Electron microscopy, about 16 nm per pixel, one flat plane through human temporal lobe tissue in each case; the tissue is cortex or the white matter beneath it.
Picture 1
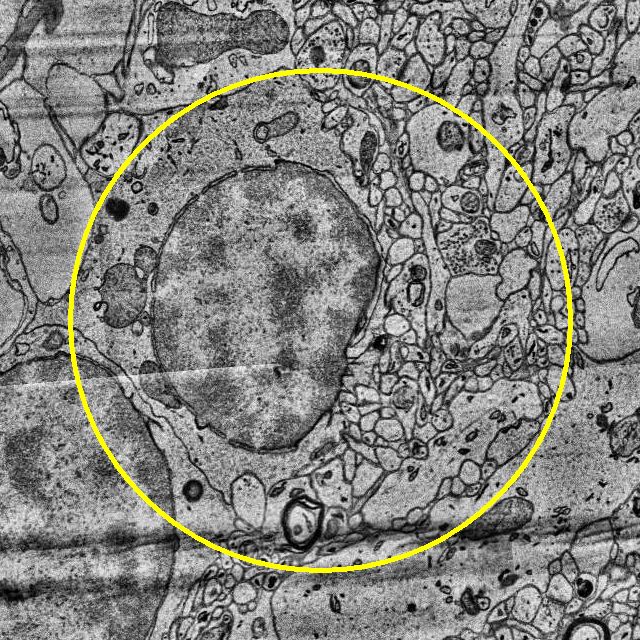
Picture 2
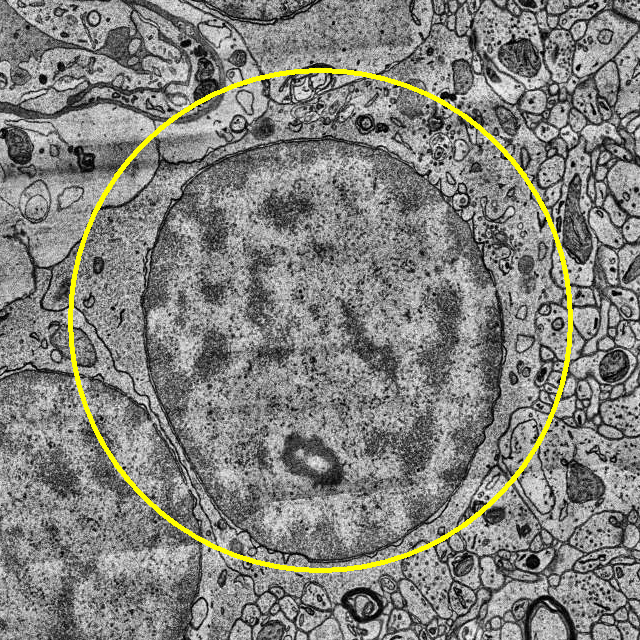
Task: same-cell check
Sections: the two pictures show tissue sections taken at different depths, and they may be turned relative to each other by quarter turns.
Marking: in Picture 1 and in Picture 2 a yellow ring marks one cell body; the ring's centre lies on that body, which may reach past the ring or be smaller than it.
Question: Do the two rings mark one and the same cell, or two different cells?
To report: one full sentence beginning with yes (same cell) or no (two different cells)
Yes, one and the same cell lies under both rings.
